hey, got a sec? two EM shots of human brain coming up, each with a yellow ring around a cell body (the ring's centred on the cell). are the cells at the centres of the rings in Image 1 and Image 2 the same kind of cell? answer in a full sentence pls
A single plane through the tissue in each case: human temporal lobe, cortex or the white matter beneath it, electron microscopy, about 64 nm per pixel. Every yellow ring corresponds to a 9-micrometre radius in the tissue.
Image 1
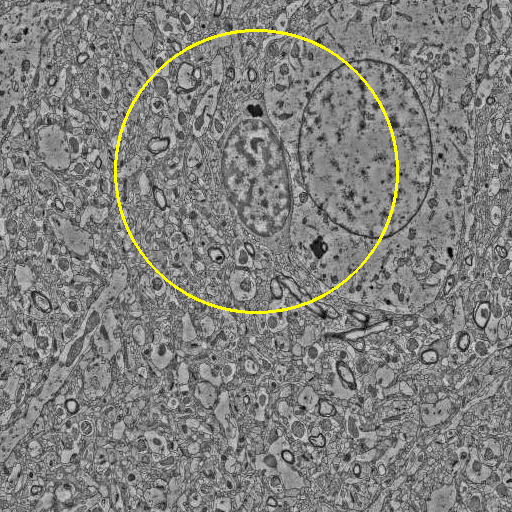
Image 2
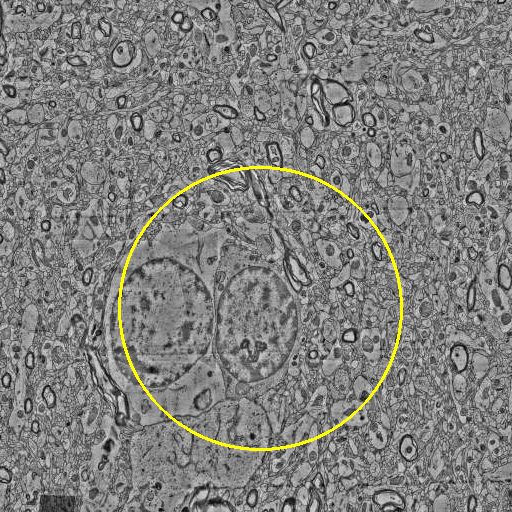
Yes, both are the same kind of cell.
